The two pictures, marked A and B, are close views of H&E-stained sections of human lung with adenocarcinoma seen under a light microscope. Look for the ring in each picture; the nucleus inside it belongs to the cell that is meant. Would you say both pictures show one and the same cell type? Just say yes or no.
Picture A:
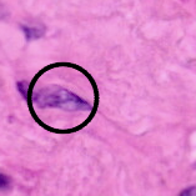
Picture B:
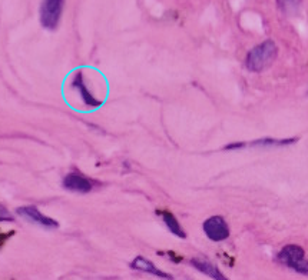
yes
